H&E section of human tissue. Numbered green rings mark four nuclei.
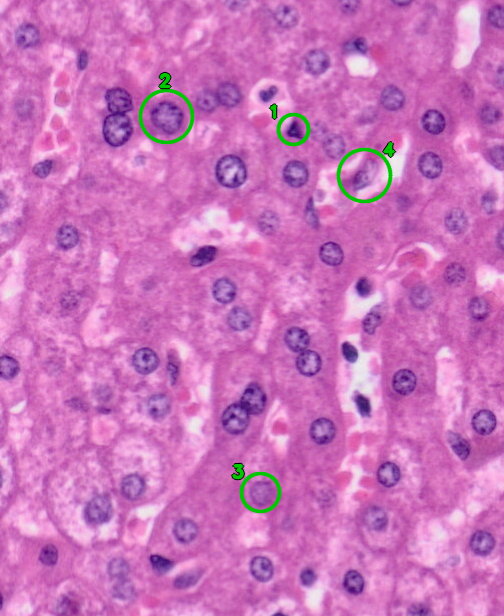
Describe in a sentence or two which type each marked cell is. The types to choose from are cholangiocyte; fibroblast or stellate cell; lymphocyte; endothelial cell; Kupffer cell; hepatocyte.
Cell 1 is a fibroblast or stellate cell. Cells 2 and 3 are hepatocytes. Cell 4 is a Kupffer cell.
